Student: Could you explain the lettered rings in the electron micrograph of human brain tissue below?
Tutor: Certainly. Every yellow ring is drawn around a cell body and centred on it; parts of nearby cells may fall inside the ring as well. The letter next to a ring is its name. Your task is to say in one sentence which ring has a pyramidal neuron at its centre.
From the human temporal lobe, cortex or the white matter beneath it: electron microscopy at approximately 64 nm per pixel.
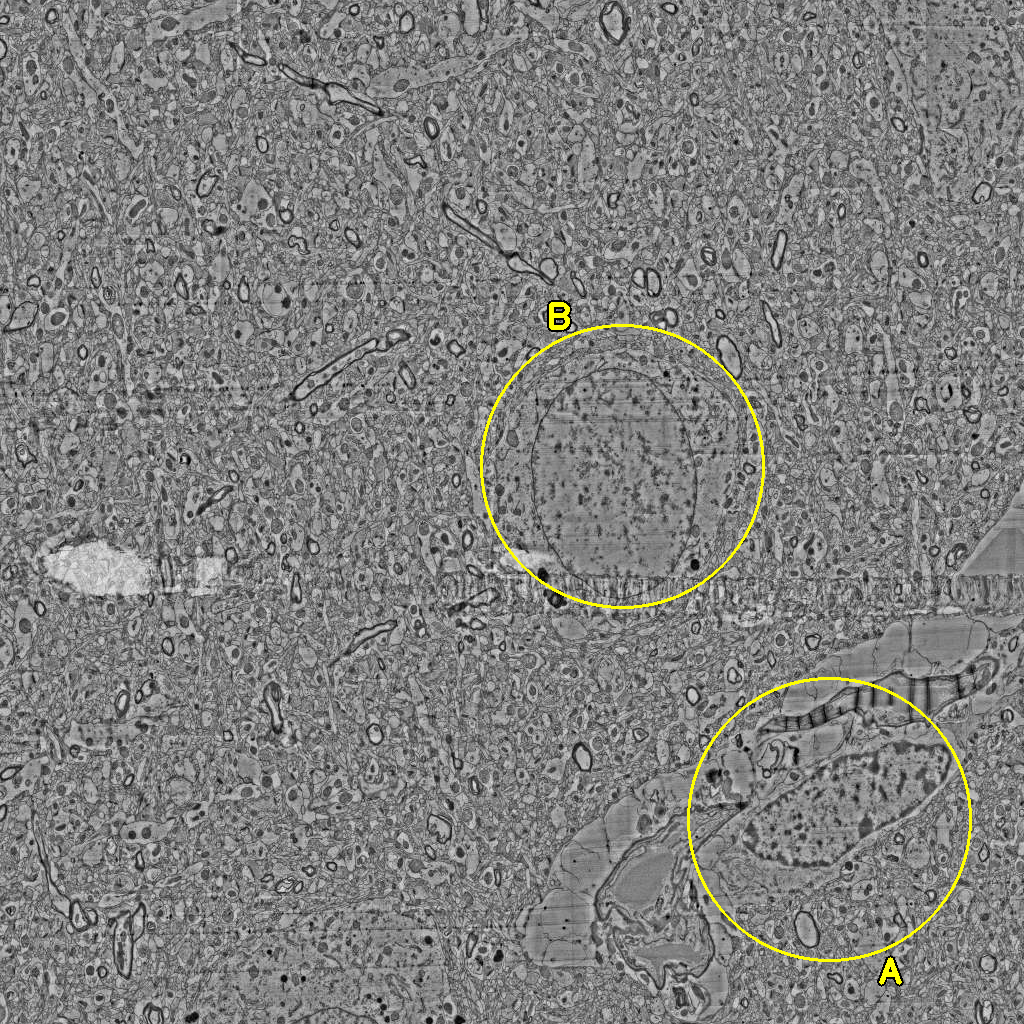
The cell at the centre of ring B is the one.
